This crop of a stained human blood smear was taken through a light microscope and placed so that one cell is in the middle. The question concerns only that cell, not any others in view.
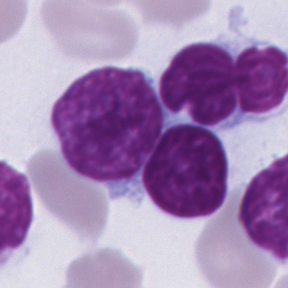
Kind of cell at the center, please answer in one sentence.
In the middle of this smear crop, the cell is a myeloblast.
